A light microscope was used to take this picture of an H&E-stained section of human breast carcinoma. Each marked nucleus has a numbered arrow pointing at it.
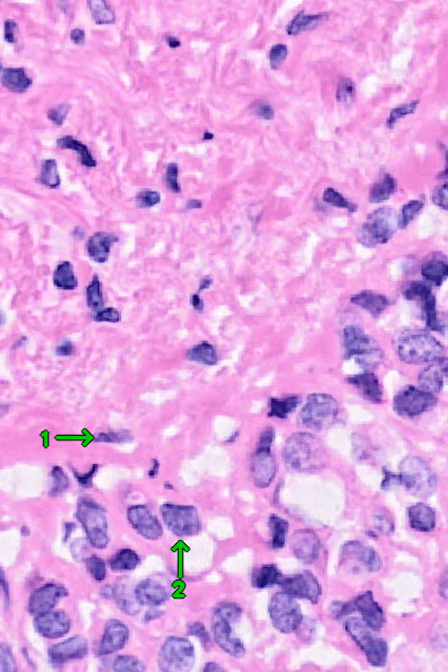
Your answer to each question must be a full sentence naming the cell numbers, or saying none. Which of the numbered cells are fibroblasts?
Only one marked cell, number 1, is a fibroblast.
